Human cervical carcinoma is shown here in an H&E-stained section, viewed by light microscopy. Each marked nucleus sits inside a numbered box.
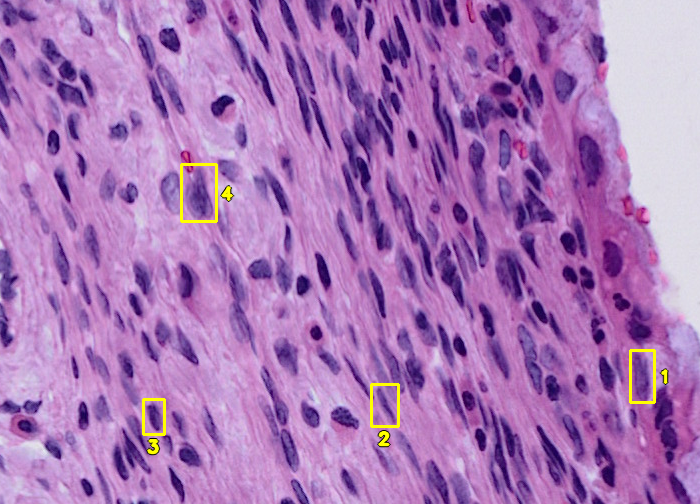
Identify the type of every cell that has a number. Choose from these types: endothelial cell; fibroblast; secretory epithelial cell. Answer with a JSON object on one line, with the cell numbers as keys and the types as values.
{"1": "secretory epithelial cell", "2": "fibroblast", "3": "fibroblast", "4": "endothelial cell"}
